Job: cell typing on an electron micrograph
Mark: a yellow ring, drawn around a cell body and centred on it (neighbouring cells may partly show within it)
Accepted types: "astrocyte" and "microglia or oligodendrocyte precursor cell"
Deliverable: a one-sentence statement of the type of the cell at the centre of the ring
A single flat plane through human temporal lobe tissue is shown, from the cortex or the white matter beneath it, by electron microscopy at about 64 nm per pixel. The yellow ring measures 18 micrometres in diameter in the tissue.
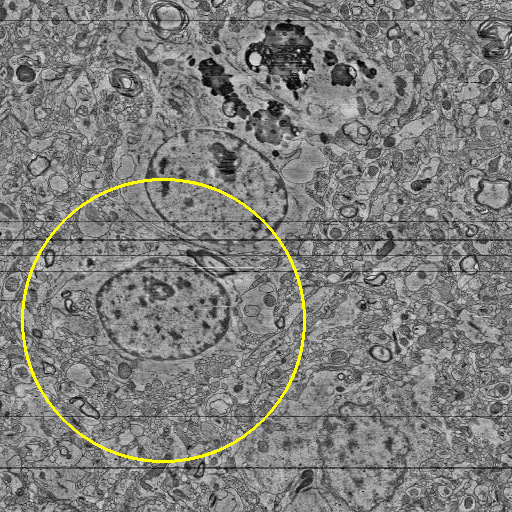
The centred cell body is that of an astrocyte.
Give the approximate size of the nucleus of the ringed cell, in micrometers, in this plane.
In this plane the nucleus is about 8 micrometres by 7.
